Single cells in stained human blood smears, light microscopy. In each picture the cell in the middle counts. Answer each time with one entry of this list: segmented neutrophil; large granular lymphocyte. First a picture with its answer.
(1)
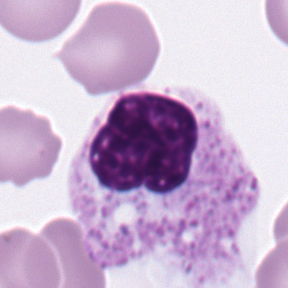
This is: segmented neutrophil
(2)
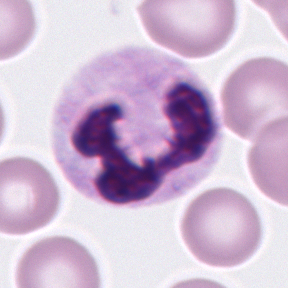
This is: segmented neutrophil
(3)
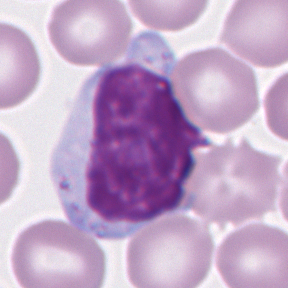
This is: large granular lymphocyte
